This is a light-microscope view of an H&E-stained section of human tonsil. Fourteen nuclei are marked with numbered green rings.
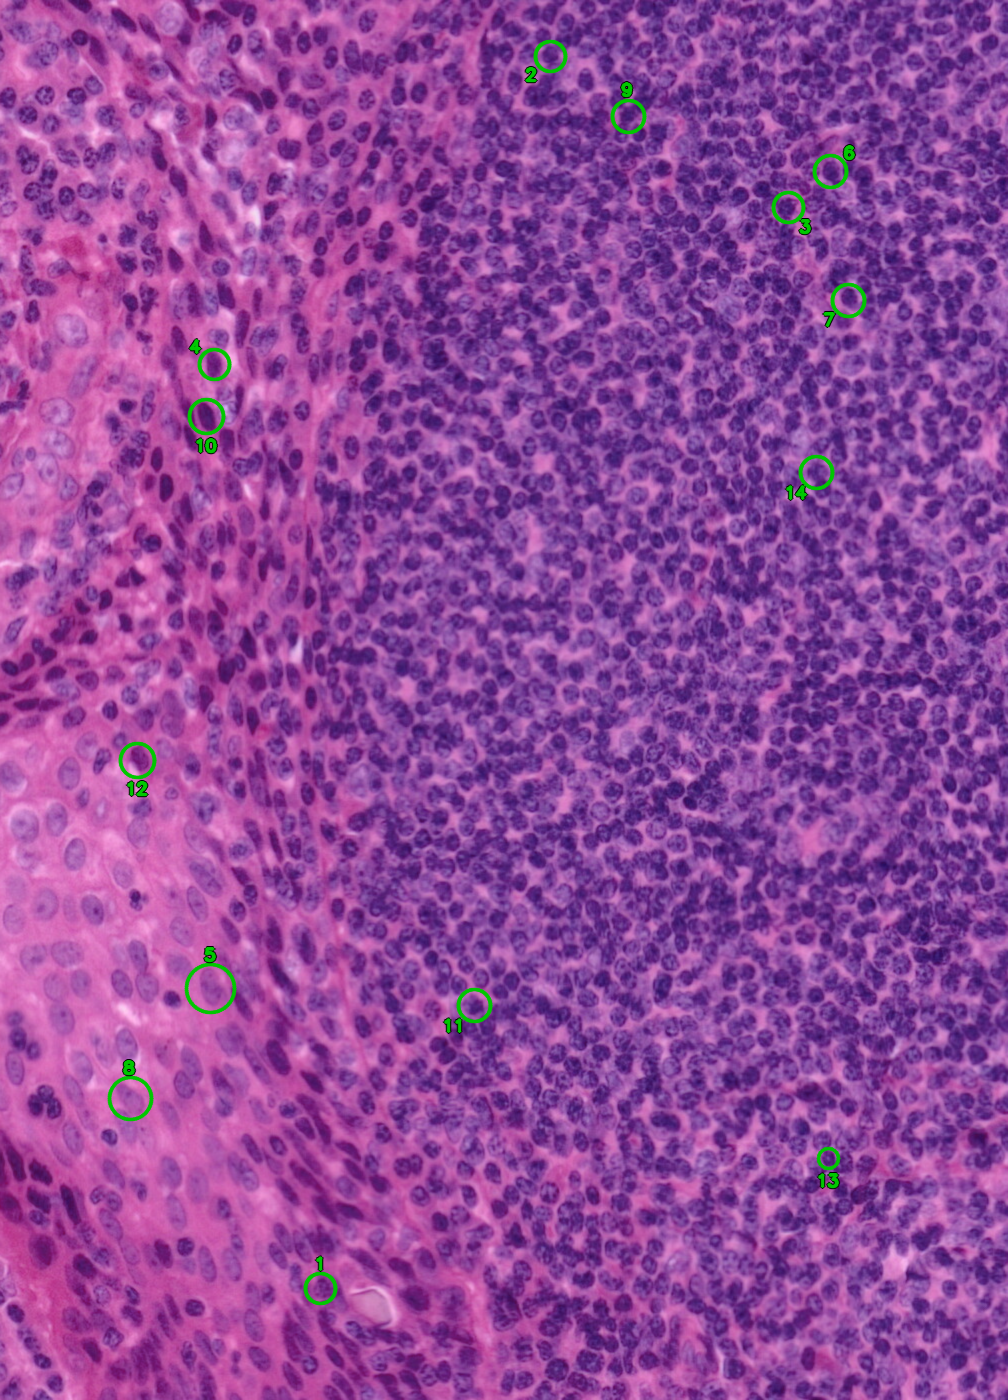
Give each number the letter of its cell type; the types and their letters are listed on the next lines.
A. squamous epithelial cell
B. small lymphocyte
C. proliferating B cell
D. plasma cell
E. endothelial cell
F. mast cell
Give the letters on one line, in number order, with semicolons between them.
A; B; B; A; A; B; B; A; B; A; B; A; B; B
